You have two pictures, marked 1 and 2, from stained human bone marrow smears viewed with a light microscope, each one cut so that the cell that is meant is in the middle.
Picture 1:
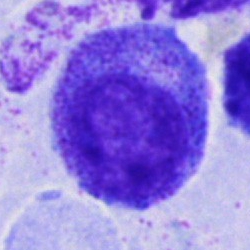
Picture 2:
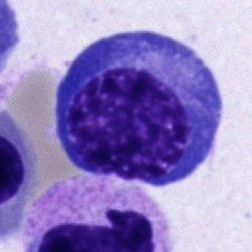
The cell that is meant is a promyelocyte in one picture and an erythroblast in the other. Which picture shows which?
1: promyelocyte
2: erythroblast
